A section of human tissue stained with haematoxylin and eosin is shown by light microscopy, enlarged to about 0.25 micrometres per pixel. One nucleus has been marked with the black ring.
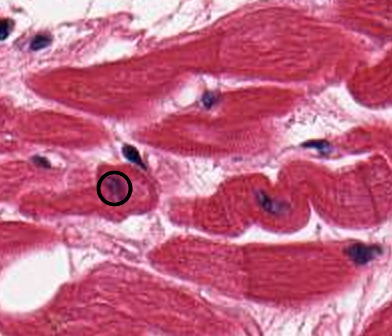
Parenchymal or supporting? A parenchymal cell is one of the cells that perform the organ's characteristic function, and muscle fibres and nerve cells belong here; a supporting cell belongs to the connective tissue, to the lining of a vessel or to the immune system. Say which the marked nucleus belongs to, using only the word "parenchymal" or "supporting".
parenchymal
